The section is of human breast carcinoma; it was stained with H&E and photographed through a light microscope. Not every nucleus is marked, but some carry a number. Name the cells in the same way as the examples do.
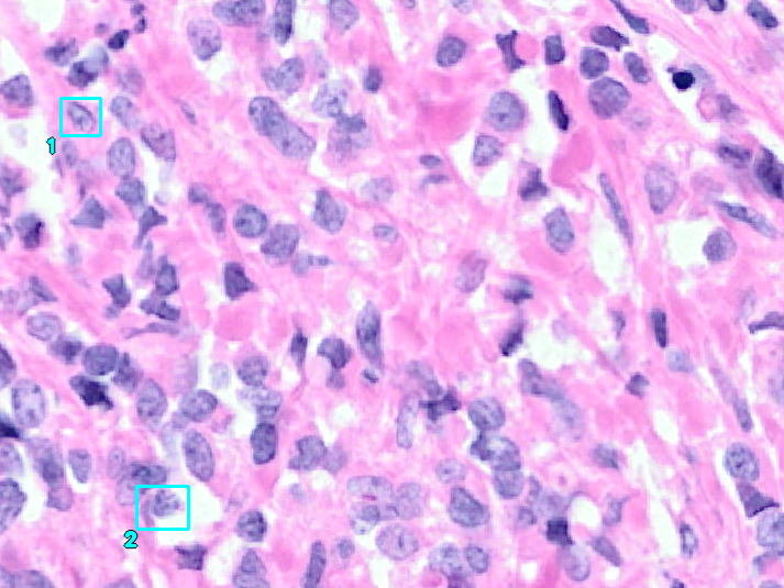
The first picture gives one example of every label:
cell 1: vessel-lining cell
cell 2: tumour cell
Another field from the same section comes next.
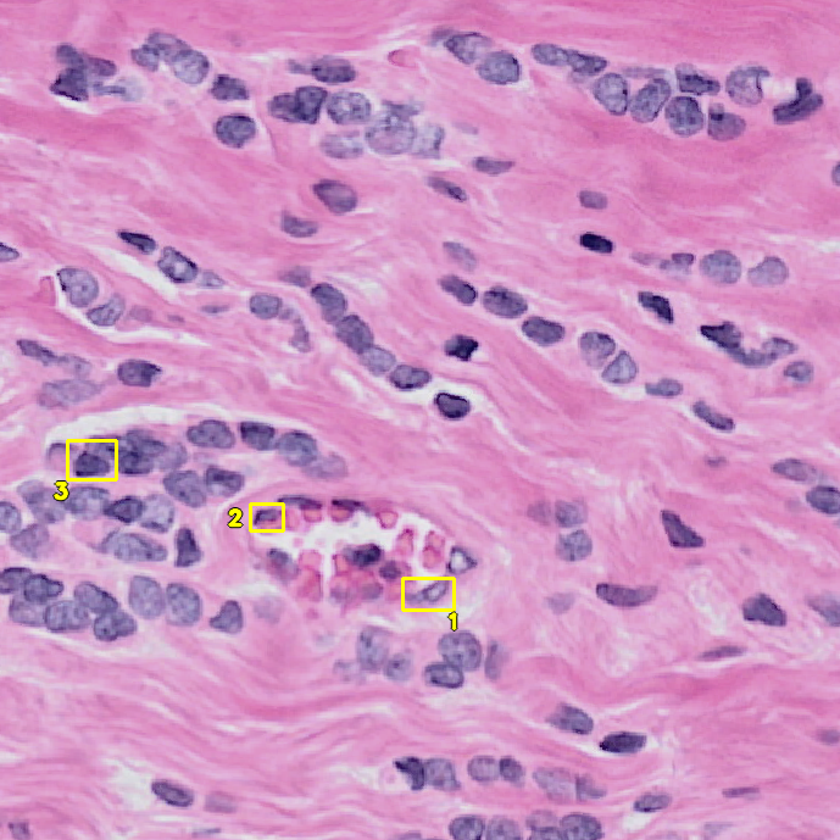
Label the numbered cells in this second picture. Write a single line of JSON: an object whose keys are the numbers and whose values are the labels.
{"1": "vessel-lining cell", "2": "vessel-lining cell", "3": "tumour cell"}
